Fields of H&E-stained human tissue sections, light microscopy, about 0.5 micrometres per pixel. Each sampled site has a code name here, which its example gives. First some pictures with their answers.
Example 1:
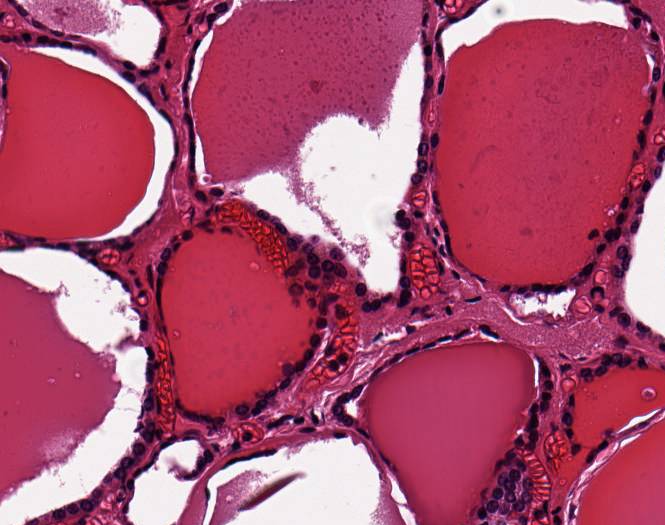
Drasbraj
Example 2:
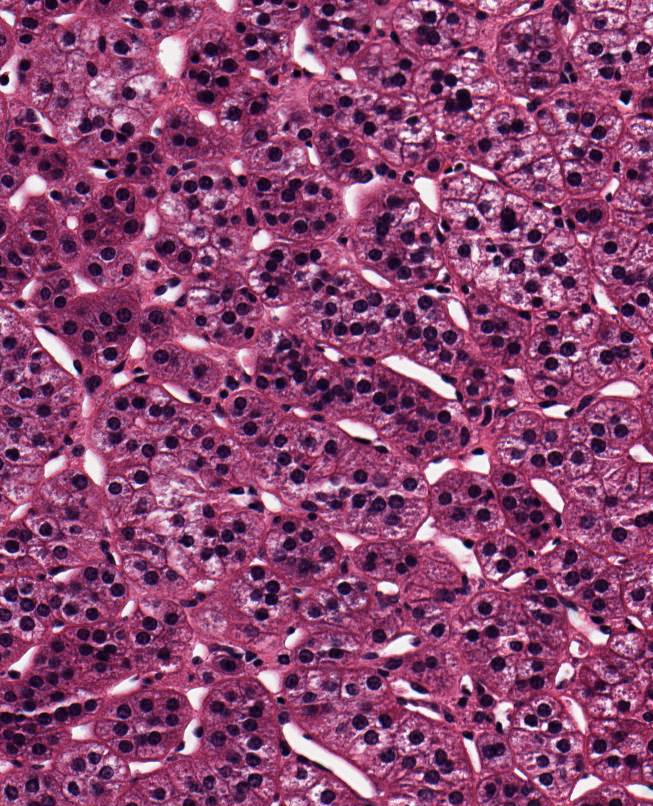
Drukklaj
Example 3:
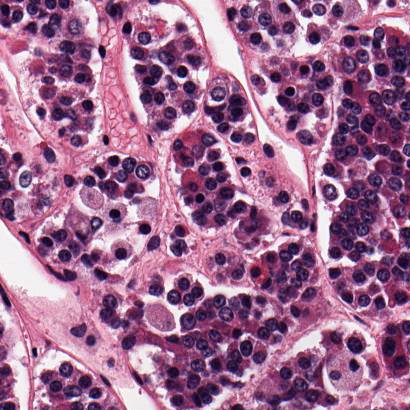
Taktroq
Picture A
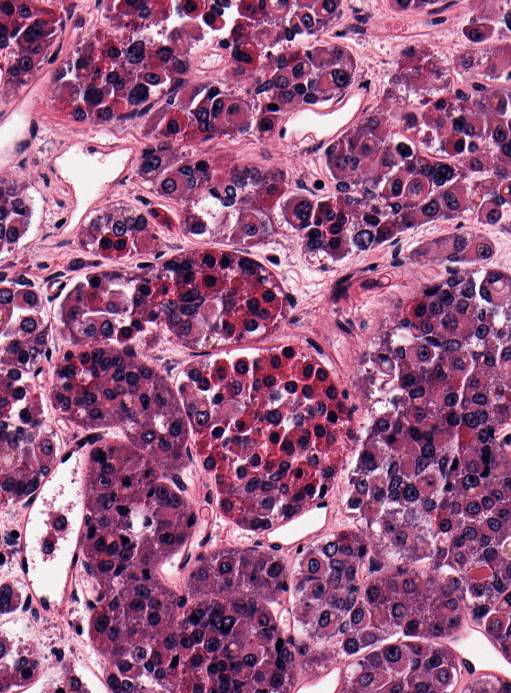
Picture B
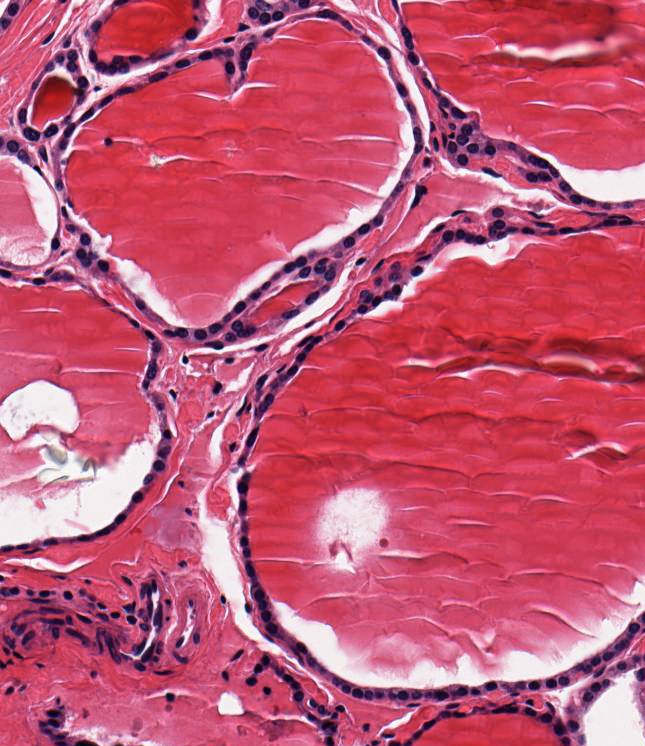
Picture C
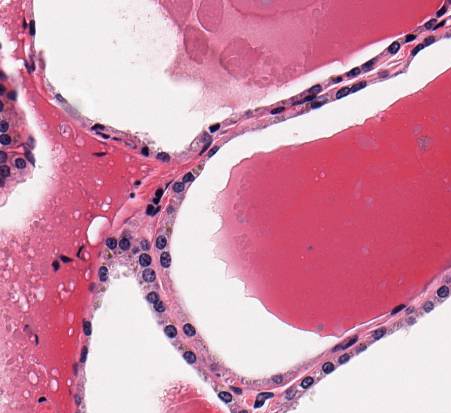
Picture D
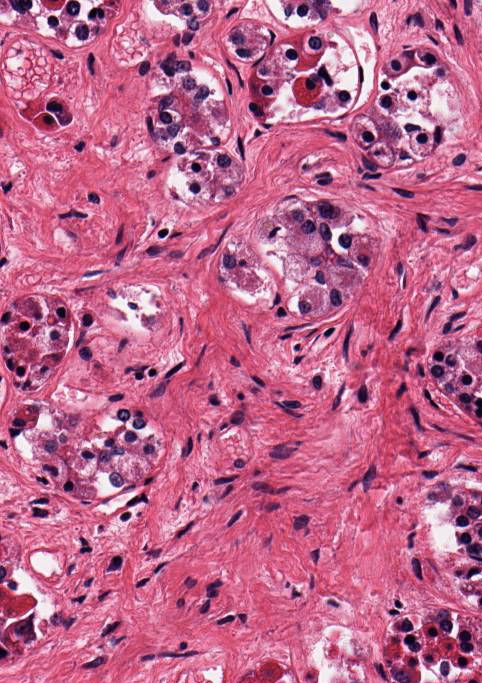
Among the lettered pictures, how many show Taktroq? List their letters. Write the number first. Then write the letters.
2: A, D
